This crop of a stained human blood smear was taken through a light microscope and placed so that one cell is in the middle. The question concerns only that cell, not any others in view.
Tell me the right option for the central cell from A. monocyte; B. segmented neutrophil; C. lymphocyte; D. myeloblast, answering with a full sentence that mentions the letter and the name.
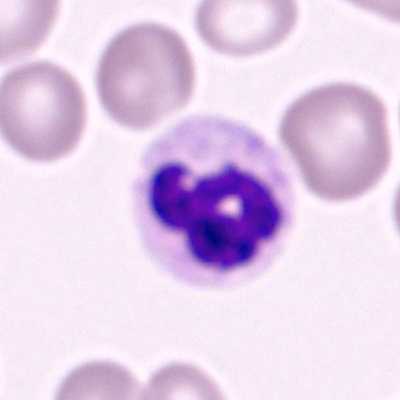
As the central cell is a segmented neutrophil, option B is correct.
